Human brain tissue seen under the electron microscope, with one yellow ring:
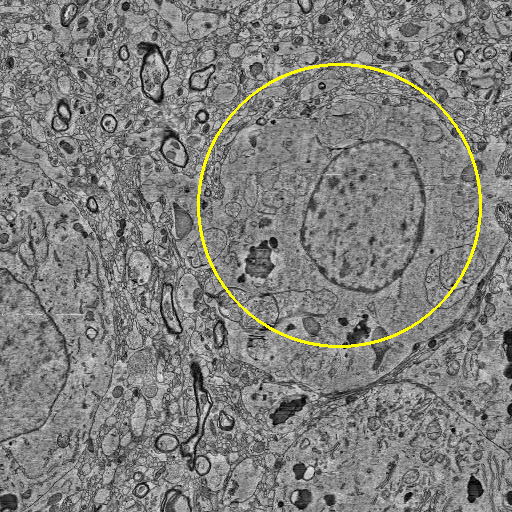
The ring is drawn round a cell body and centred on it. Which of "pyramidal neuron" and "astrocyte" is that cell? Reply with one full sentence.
The picture shows an astrocyte at the very centre of the yellow ring.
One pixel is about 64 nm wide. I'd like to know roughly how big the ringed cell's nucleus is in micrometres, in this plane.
Approximately 10 by 8 micrometers in this plane.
